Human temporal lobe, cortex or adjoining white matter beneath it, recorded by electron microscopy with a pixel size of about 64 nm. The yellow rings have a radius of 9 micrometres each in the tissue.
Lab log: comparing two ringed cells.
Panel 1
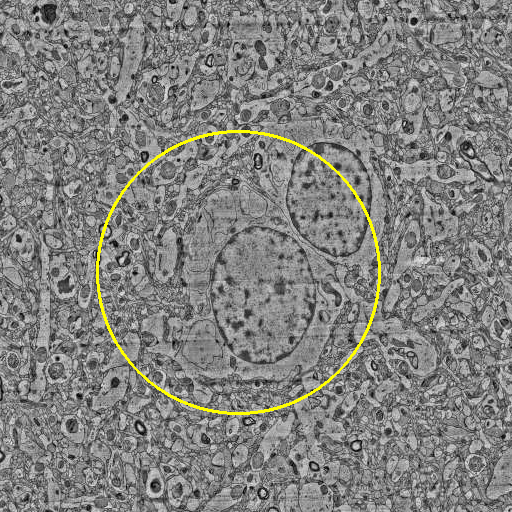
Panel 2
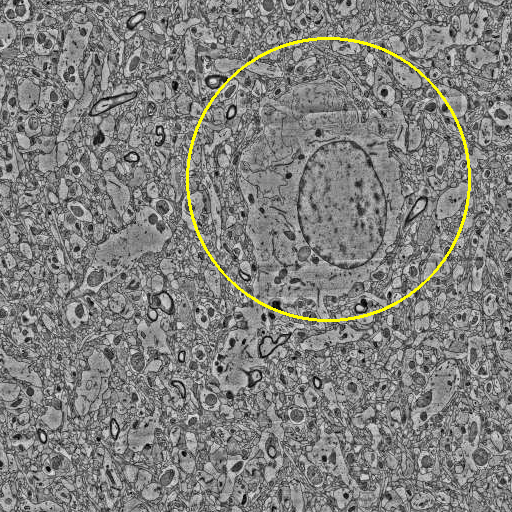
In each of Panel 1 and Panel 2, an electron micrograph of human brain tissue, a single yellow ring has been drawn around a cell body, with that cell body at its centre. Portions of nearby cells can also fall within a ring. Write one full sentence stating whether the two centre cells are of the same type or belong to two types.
The cells at the ring centres in Panel 1 and Panel 2 are of the same type.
